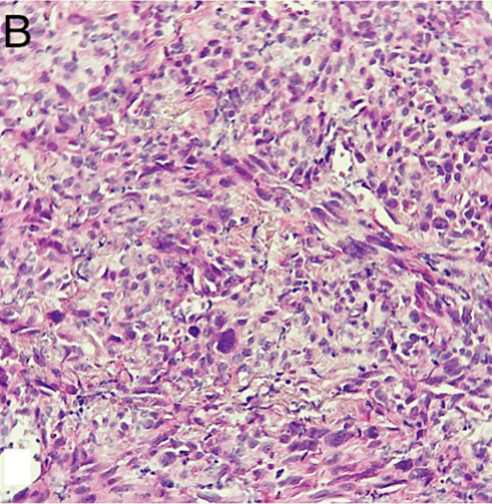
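Some cells lie close together in cohesive groups, while others are elongated and spindle-shaped, running in short streams. The nuclei vary greatly in size and shape, many are dark and hyperchromatic, and a few are strikingly enlarged. Little stroma separates the cells, with only thin pink fibrous strands between them.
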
